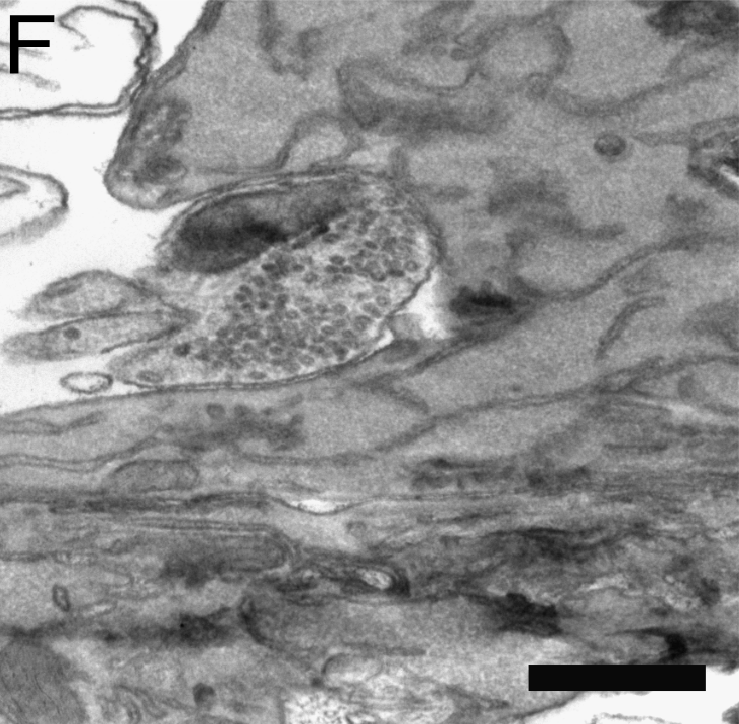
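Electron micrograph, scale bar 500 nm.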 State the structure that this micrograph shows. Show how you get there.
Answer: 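A rounded membrane-bound profile in the centre is packed with many small round vesicles. So: presynaptic terminal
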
